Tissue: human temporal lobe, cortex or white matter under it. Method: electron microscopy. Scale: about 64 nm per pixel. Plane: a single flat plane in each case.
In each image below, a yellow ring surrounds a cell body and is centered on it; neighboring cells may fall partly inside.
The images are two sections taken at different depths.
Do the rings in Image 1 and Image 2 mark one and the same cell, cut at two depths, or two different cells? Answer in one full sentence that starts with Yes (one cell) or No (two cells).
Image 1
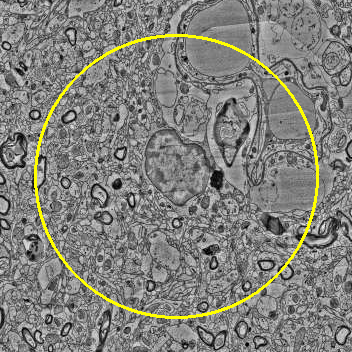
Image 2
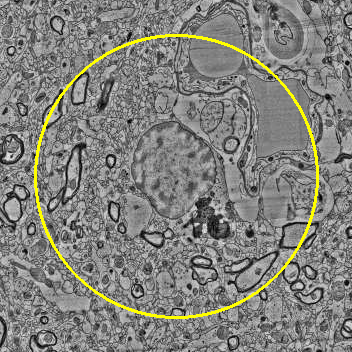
Yes, the cell marked in each ring is one and the same.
